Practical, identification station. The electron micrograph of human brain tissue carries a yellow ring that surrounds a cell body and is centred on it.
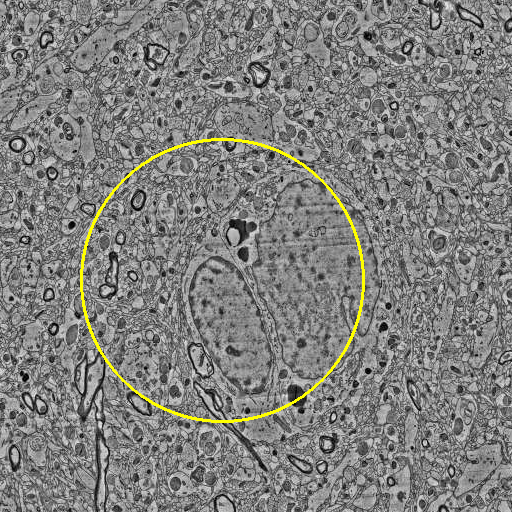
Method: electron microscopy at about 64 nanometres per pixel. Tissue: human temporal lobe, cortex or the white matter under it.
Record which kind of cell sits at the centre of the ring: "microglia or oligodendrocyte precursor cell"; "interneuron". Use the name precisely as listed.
microglia or oligodendrocyte precursor cell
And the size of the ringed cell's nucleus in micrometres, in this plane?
In this plane the nucleus is roughly 9 by 4 micrometres, clearly longer than it is wide.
